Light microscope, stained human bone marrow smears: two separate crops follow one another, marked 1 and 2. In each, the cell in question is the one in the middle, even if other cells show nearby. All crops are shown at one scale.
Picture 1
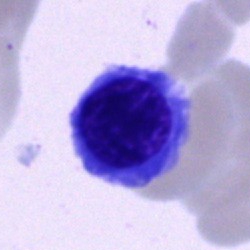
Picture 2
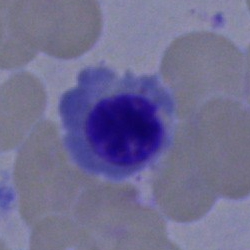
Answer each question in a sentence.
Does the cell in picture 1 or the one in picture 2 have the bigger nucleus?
Picture 1 shows the larger nucleus; it covers about 1.5 times the area of the nucleus in picture 2.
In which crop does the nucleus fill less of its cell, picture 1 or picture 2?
The nucleus fills less of the cell in picture 2 than in picture 1.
